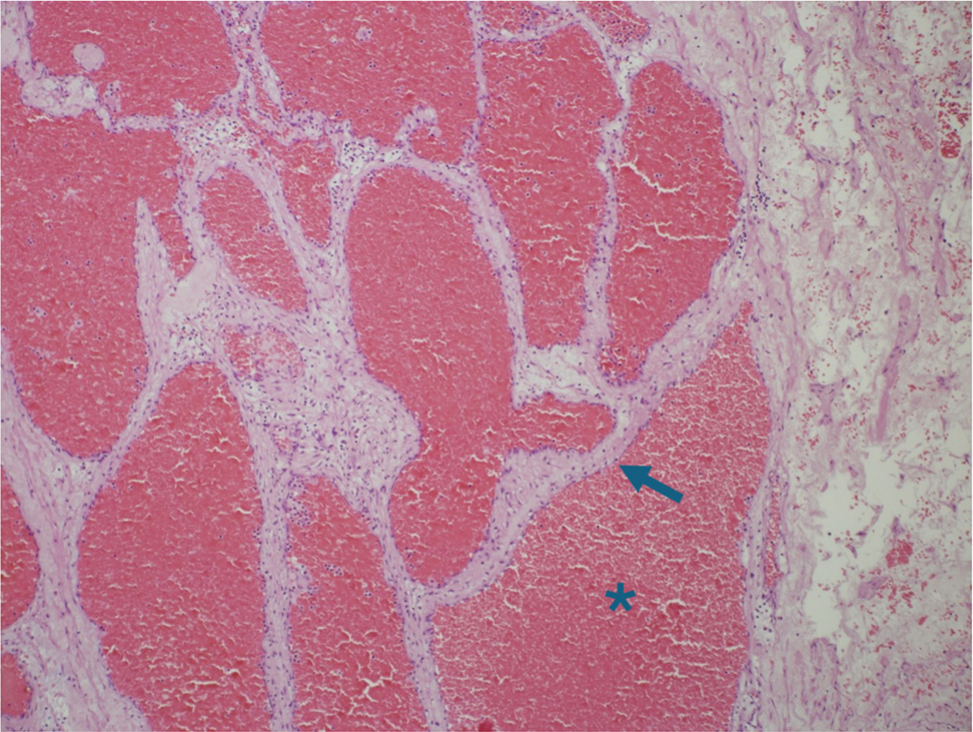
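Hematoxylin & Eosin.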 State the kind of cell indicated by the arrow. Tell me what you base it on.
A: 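The arrow points to the thin edge of a large blood-filled space. That points to this answer: flat endothelial cells.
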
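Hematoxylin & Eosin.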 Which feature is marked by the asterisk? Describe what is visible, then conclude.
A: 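The asterisk lies within a large rounded space packed with pink-red red blood cells. Many similar dilated spaces are separated by thin pale septa.
Vascular spaces filled with blood.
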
